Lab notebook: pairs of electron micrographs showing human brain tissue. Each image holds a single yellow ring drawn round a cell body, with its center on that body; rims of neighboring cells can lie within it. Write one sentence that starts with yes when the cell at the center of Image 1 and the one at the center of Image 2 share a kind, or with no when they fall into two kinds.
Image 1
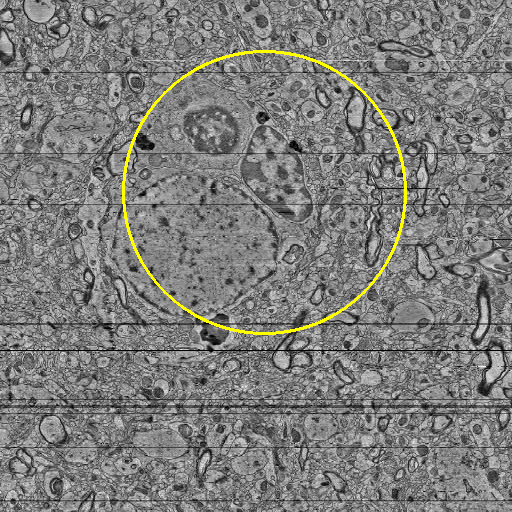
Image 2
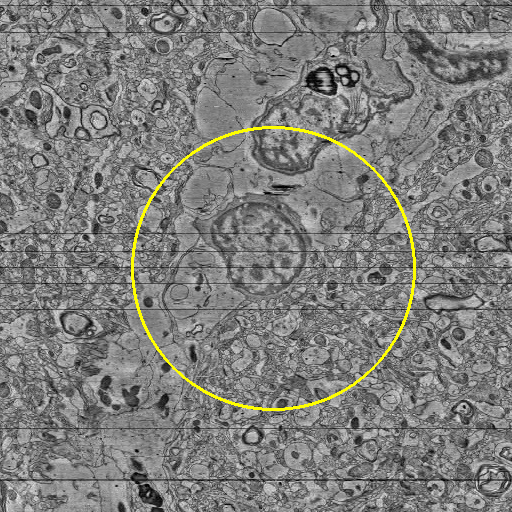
No, the centered cell in Image 1 and the centered cell in Image 2 are of two kinds.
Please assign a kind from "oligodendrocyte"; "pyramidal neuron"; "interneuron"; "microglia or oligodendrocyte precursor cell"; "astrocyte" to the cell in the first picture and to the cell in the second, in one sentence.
In the first picture we have a microglial cell or oligodendrocyte precursor cell, and in the second, an oligodendrocyte.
